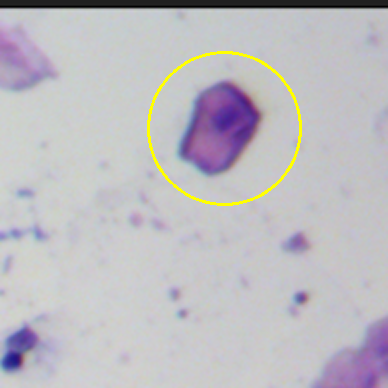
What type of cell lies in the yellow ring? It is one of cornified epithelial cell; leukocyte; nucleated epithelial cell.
The ringed cell is a nucleated epithelial cell.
